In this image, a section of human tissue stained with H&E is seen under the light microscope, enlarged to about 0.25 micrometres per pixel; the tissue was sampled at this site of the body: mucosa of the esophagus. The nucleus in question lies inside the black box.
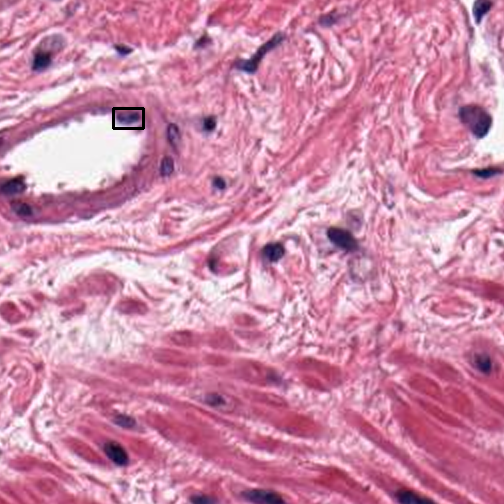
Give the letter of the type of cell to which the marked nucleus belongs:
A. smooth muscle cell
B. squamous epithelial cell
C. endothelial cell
C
